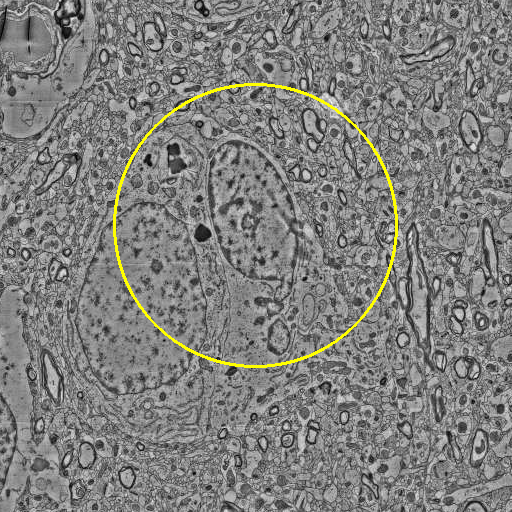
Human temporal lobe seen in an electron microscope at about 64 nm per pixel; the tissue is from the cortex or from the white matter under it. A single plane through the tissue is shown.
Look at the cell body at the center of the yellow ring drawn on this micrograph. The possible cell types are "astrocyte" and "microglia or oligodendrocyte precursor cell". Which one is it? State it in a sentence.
The cell in the middle of the ring is a microglial cell or oligodendrocyte precursor cell.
